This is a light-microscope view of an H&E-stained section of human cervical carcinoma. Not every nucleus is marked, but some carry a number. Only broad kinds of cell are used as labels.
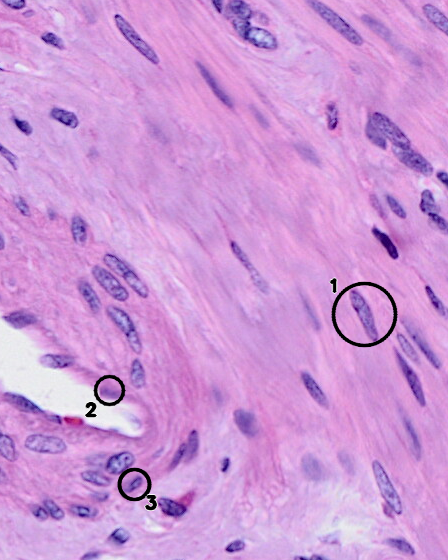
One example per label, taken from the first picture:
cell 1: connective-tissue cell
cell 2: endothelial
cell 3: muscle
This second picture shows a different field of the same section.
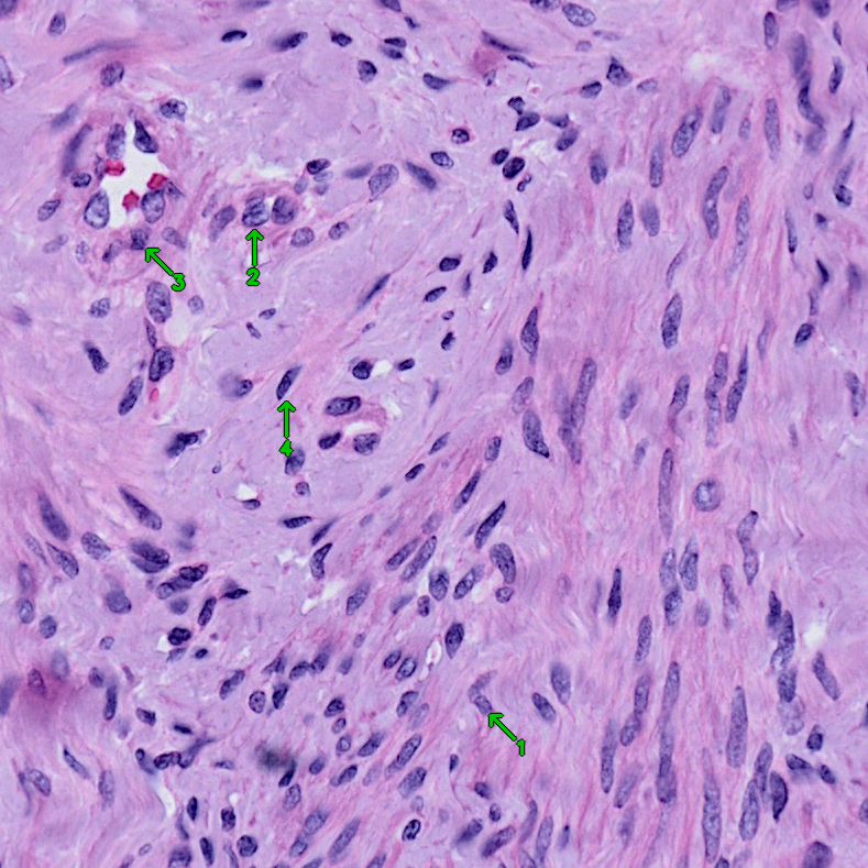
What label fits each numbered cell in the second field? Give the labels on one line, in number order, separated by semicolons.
muscle; endothelial; endothelial; connective-tissue cell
